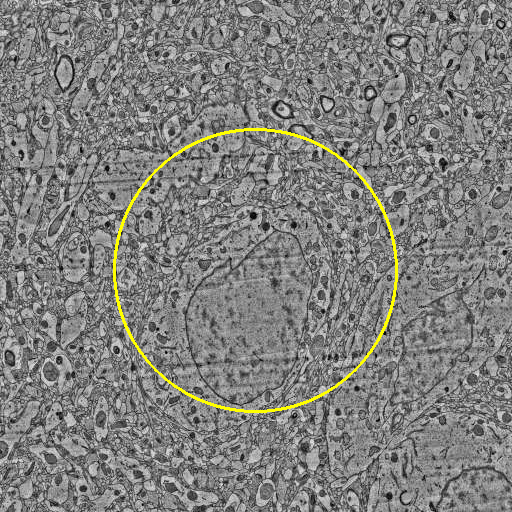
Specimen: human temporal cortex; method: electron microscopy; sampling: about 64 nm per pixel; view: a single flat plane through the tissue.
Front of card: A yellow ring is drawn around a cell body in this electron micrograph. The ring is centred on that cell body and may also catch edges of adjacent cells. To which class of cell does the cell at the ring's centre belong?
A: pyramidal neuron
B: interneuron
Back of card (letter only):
A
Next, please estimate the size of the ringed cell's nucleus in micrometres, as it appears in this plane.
In this plane, roughly 10 by 8 micrometres.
